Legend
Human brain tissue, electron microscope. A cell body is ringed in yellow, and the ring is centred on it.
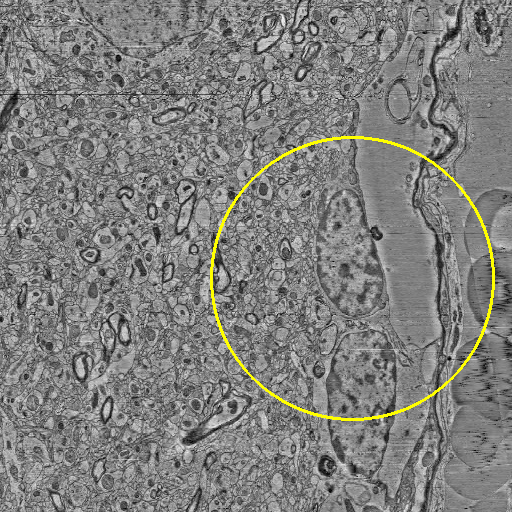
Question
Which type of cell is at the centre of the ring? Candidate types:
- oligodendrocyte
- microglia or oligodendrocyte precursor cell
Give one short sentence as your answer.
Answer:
The yellow ring is centred here on an oligodendrocyte.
